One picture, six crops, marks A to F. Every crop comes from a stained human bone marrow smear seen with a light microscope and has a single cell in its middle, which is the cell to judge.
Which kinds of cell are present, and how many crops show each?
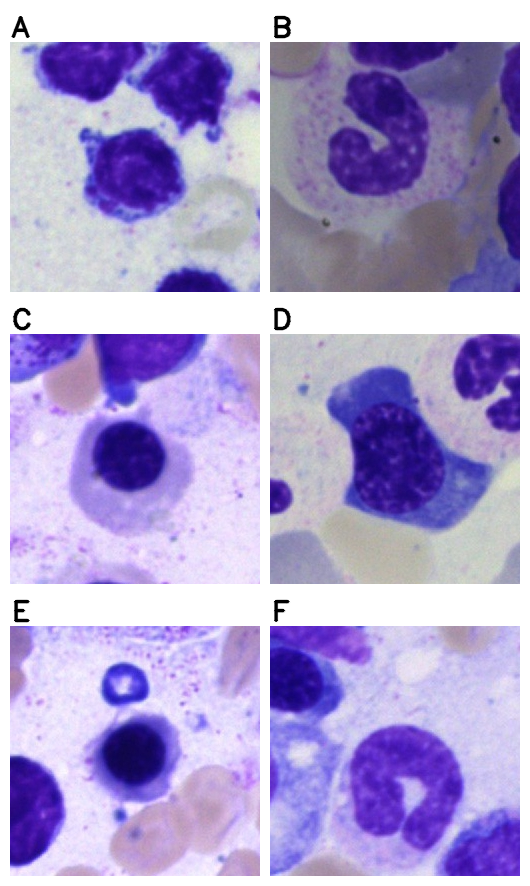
erythroblast: 3
band neutrophil: 2
lymphocyte: 1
